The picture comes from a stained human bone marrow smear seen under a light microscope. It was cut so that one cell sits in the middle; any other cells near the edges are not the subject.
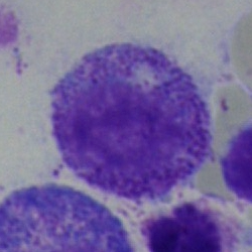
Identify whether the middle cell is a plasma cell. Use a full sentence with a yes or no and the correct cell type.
No, the middle cell is not a plasma cell, it being a myelocyte.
